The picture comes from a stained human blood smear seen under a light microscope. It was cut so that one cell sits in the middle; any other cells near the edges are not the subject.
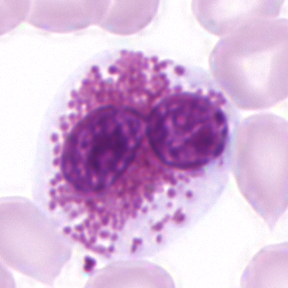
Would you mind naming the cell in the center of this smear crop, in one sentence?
The cell the crop is centered on is an eosinophil.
